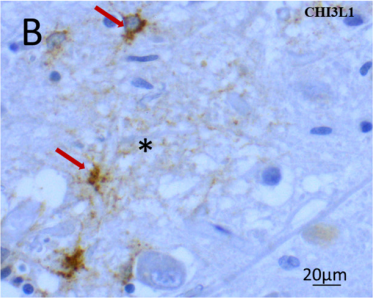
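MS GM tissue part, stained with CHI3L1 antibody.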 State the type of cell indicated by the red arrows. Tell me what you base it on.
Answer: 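The arrowed cells are intensely brown with many fine radiating processes. Their cell bodies are small compared with the large pale cells nearby. On this evidence: reactive astrocytes.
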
